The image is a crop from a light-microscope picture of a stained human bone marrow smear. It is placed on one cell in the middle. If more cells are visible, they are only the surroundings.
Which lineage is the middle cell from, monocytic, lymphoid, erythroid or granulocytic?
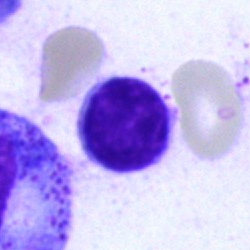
lymphoid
